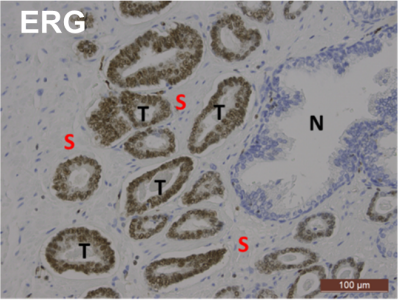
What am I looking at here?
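This is prostate tissue in which many small, rounded tumor glands crowd together in a fibrous stroma next to one larger gland with a wide, irregular lumen. The large gland to the right has blue, unstained nuclei and a folded lining. Between the glands, the stroma is made of pale pink-grey fibres with scattered thin blue nuclei.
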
